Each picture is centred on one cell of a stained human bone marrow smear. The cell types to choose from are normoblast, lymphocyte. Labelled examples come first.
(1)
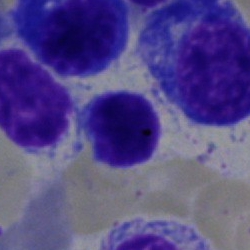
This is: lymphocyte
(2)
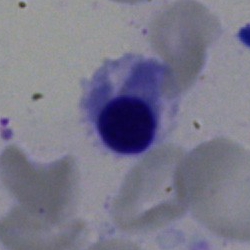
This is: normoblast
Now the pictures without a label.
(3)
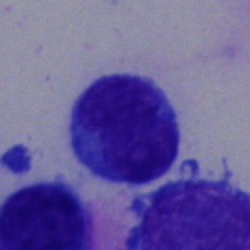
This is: lymphocyte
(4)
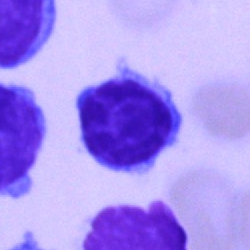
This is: lymphocyte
